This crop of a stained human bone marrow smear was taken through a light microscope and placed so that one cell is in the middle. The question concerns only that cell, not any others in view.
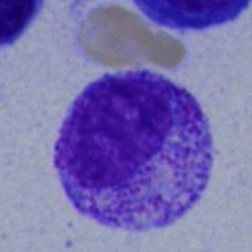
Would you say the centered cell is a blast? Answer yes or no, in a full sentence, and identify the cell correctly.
No, the cell centered in the crop is a myelocyte, not a blast.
